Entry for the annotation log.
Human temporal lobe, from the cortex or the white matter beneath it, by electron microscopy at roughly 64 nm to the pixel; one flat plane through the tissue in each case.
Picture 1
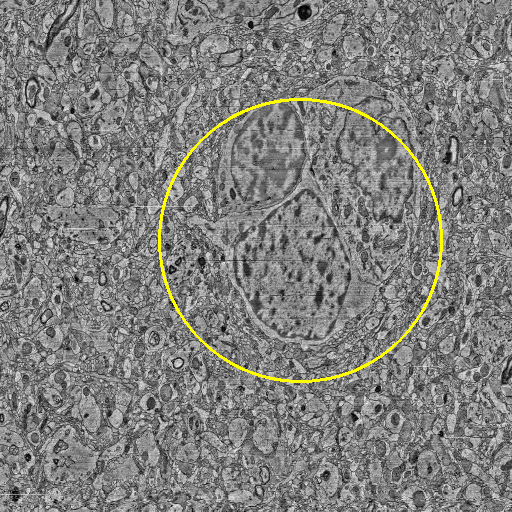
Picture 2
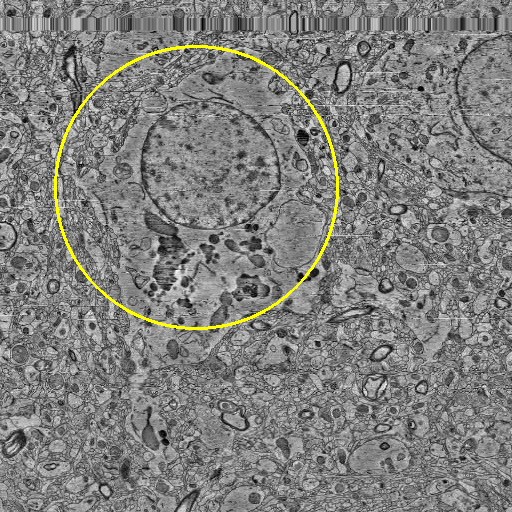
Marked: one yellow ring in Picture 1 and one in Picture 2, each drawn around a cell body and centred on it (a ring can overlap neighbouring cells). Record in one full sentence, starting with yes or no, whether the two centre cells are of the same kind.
No, the two cells are of two kinds.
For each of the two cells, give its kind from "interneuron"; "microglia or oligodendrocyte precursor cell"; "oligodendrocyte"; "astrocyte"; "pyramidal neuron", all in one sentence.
The first picture has a microglial cell or oligodendrocyte precursor cell in its ring, the second has an astrocyte.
